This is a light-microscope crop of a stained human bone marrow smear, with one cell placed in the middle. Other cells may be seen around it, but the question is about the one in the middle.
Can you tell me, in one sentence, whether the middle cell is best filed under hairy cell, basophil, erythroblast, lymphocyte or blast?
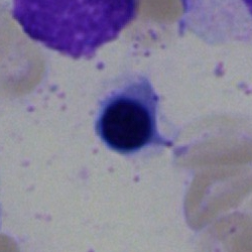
At the center of the crop sits an erythroblast.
